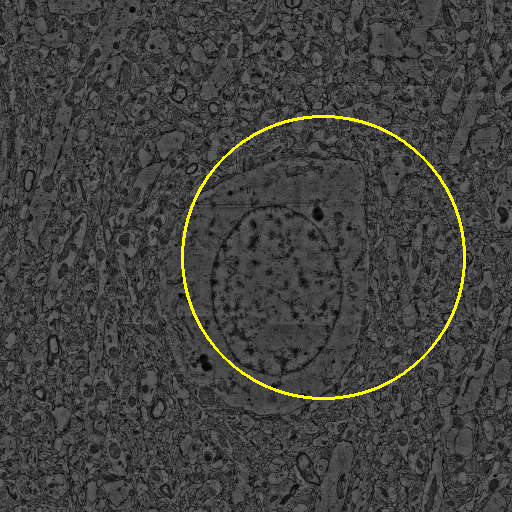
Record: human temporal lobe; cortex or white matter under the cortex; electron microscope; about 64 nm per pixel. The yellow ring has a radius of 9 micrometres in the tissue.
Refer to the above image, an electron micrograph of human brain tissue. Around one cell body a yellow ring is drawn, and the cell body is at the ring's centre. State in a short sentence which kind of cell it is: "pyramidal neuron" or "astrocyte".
The centre of the ring falls on a pyramidal neuron.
